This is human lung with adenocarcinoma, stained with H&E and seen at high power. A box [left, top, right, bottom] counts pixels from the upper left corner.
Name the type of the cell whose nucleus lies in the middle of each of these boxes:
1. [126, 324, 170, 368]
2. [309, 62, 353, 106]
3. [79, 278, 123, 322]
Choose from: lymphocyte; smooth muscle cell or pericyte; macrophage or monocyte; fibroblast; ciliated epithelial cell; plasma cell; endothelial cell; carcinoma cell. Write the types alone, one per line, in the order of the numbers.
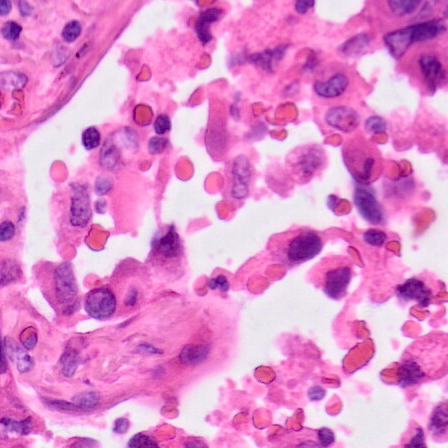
fibroblast
macrophage or monocyte
carcinoma cell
